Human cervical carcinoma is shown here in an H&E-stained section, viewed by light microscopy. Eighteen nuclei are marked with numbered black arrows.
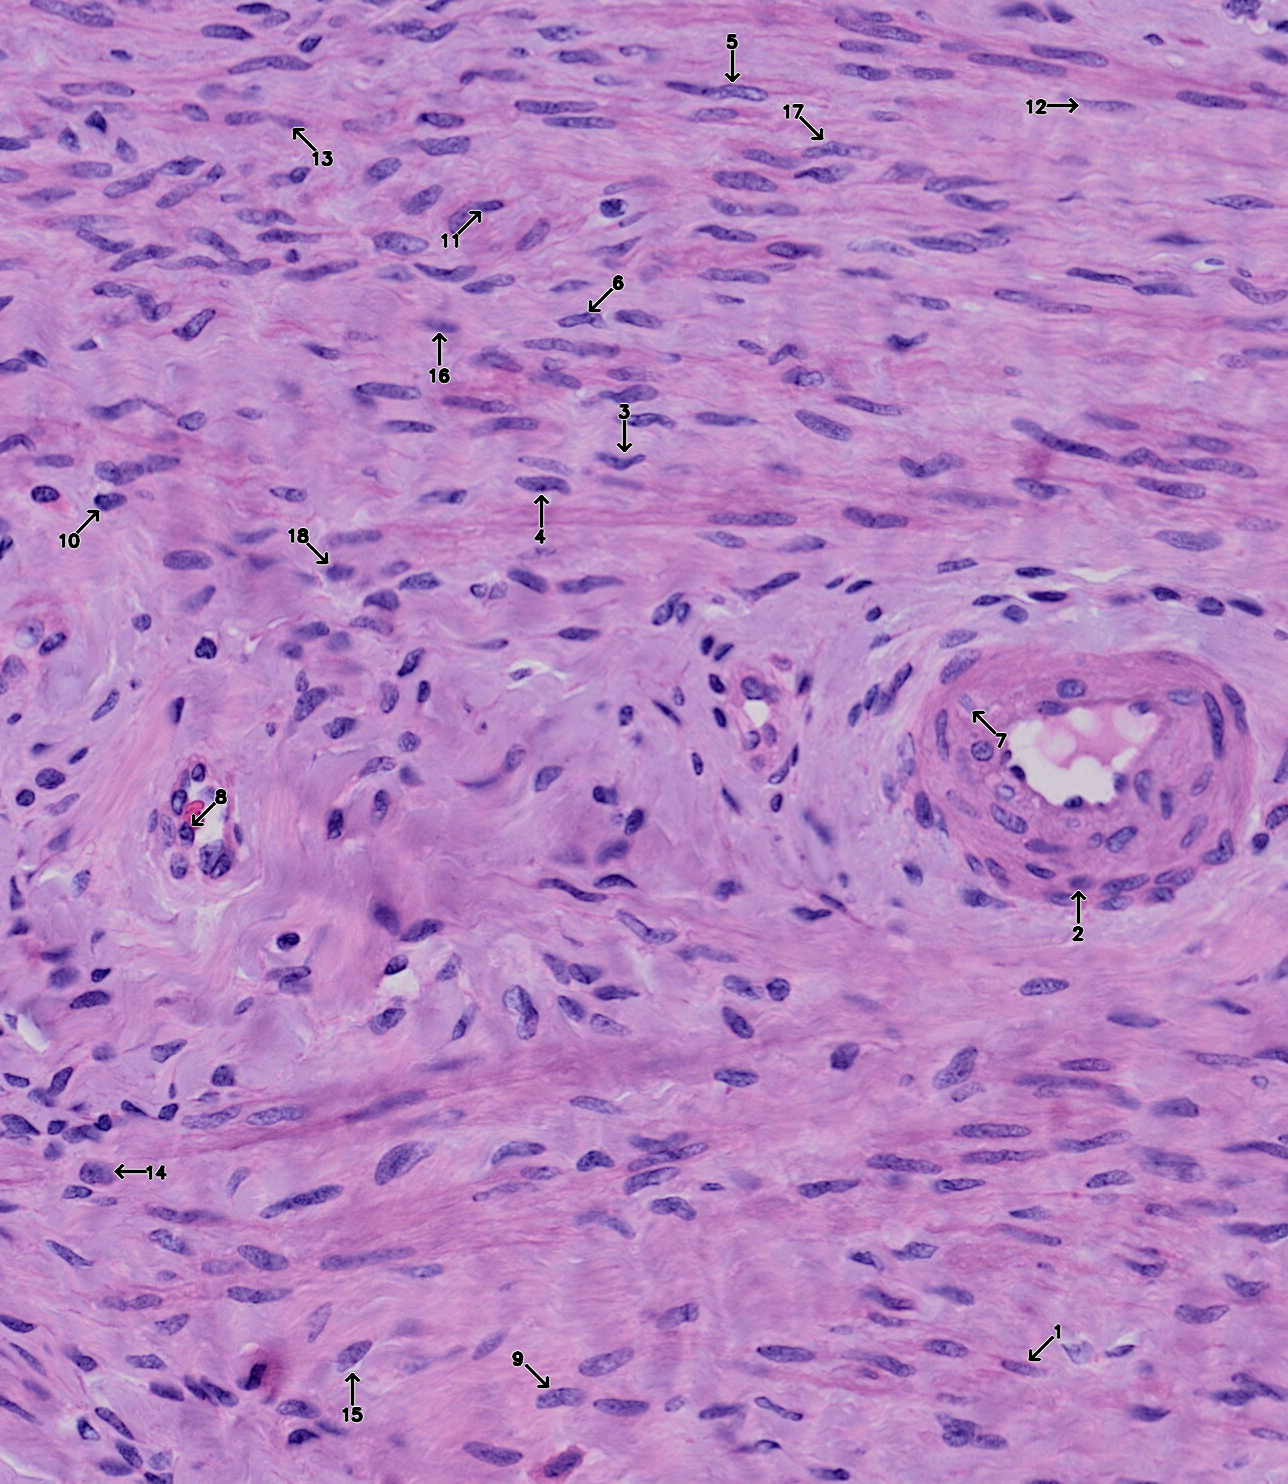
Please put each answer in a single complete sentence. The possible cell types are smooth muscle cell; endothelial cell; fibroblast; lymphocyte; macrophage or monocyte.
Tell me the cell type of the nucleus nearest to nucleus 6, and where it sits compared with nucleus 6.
A smooth muscle cell lies closest, below nucleus 6.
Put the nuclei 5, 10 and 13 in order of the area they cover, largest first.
By area, largest first, they run 5, 10, 13.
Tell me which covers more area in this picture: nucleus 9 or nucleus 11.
Nucleus 9 is larger, with an area about 3 times that of nucleus 11.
